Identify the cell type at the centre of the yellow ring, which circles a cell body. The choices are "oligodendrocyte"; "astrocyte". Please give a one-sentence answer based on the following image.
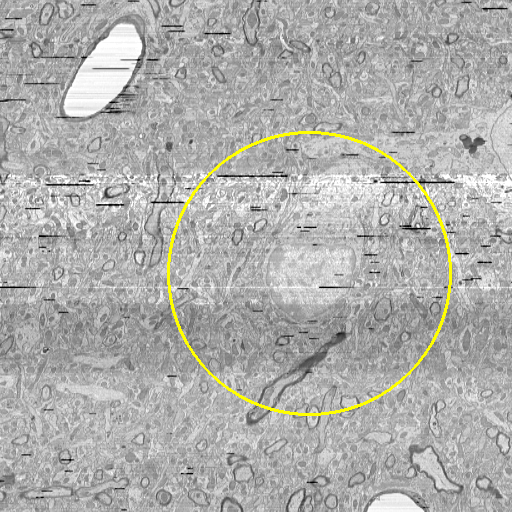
The cell marked by the ring is an oligodendrocyte.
